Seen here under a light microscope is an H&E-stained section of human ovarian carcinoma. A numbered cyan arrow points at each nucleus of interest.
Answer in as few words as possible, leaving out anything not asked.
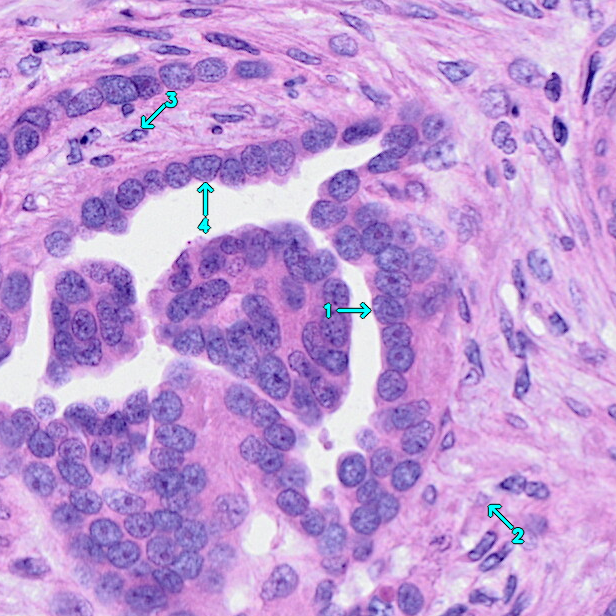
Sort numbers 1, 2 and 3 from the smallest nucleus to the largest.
2, 3, 1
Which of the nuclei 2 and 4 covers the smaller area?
2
